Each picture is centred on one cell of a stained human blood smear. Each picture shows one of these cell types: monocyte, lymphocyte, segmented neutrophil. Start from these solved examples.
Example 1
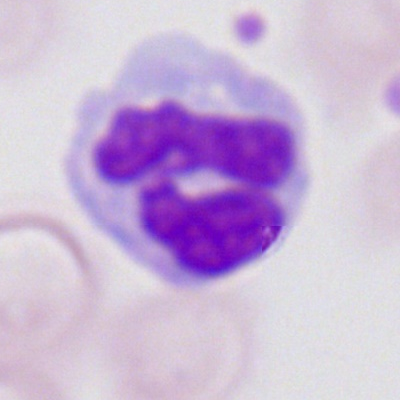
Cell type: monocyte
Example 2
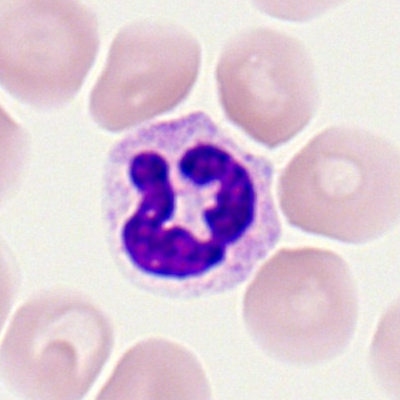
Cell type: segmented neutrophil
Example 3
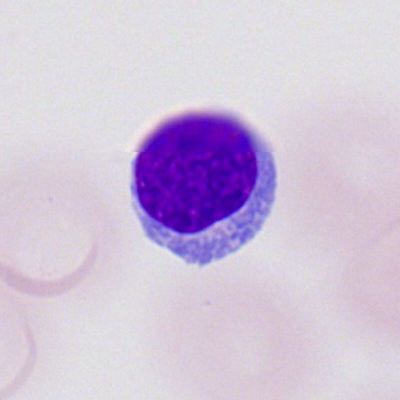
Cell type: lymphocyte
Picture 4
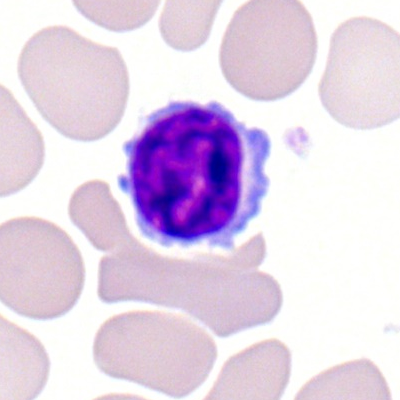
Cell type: lymphocyte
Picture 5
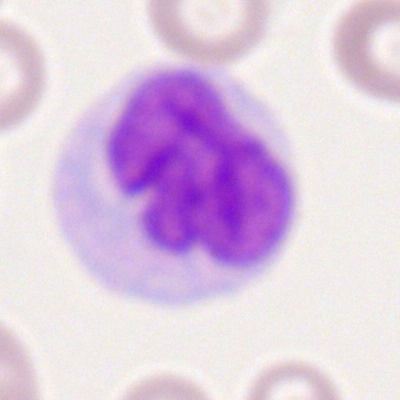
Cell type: monocyte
